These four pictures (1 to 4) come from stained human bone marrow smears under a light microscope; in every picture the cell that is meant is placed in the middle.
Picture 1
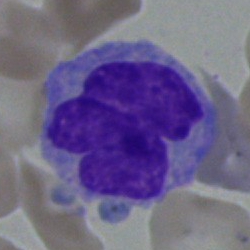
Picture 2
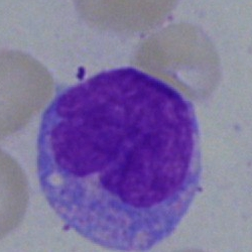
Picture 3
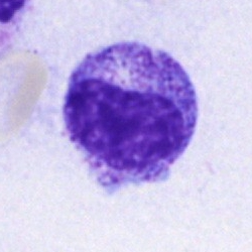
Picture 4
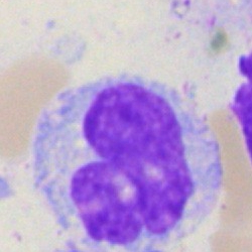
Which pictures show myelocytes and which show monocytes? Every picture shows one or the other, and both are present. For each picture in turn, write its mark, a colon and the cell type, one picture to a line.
1: monocyte
2: monocyte
3: myelocyte
4: monocyte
